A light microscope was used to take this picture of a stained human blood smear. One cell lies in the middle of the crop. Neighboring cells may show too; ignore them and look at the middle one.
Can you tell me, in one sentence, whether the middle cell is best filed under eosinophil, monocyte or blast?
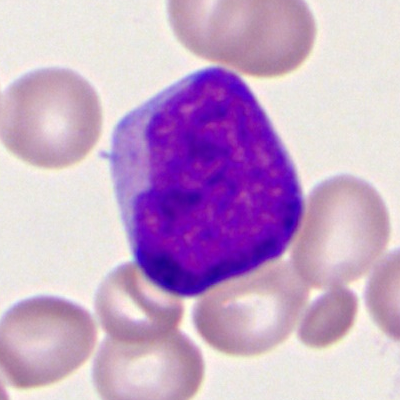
Centrally within this crop lies a blast.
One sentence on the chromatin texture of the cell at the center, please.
The chromatin is delicate and fine, lacking coarse clumping entirely.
